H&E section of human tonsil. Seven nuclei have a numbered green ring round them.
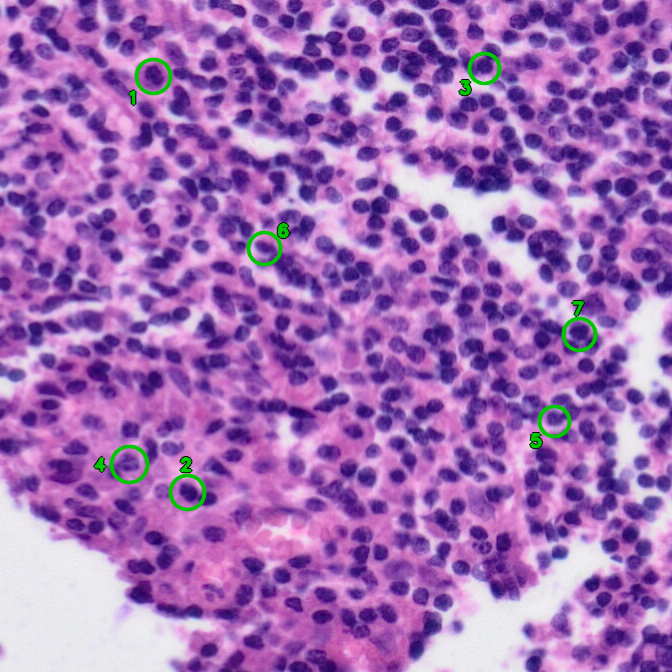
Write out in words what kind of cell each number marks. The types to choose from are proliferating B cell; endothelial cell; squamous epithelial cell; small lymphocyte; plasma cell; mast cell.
Cells 1, 2 and 4 are plasma cells. Cells 3, 5, 6 and 7 are small lymphocytes.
